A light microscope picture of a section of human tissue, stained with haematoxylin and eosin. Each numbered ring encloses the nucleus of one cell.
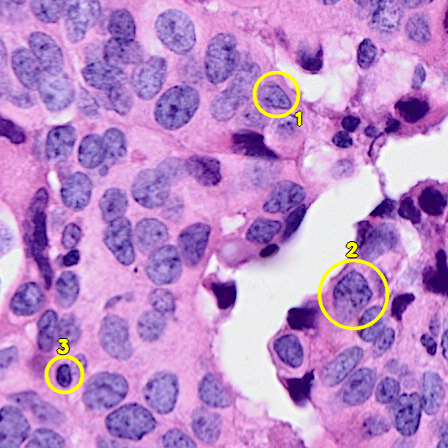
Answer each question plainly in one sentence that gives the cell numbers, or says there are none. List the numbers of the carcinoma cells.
On this slide, the cells numbered 1 and 2 are carcinoma cells.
